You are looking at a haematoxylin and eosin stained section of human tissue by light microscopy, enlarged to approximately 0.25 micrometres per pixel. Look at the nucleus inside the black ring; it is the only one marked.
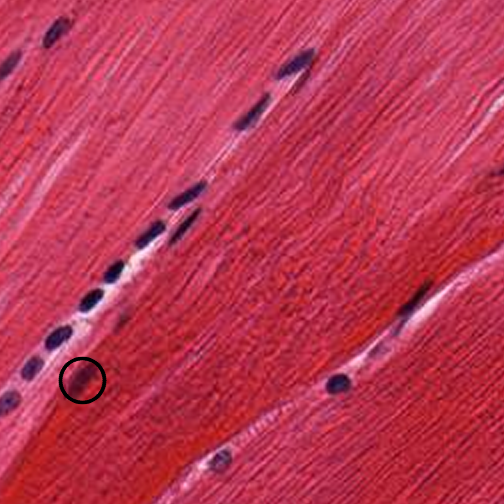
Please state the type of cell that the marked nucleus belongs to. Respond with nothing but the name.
skeletal muscle fibre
